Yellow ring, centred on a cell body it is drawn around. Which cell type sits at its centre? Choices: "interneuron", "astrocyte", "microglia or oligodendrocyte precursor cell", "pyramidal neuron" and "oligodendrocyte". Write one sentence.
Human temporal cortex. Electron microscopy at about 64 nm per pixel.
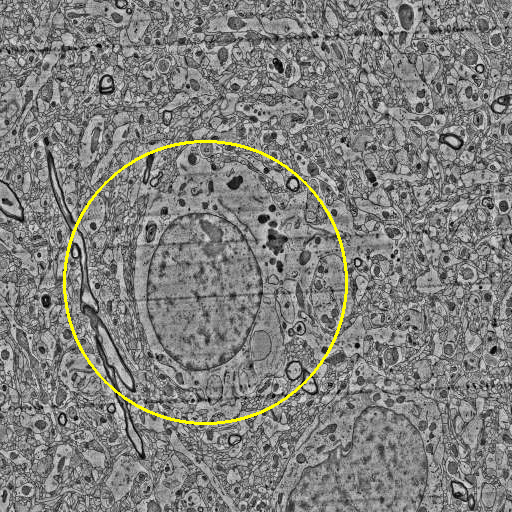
At the centre of the ring sits an astrocyte.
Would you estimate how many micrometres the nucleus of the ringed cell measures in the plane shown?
The ringed cell's nucleus is about 10 micrometres long and 7 micrometres wide in this plane.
